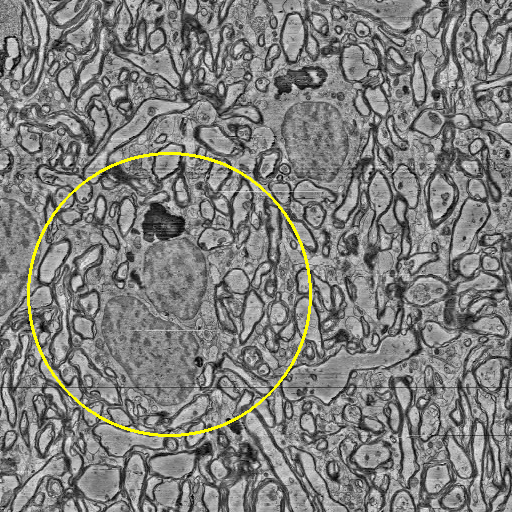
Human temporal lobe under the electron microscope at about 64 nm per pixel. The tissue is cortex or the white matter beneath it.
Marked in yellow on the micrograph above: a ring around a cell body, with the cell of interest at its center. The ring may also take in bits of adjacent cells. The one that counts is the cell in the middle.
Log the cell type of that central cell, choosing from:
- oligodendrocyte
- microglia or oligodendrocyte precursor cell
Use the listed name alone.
oligodendrocyte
